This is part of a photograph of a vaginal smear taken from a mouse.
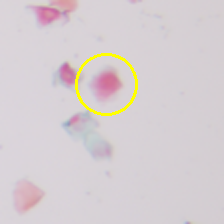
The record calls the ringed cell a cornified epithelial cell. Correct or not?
Correct; it is a cornified epithelial cell.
